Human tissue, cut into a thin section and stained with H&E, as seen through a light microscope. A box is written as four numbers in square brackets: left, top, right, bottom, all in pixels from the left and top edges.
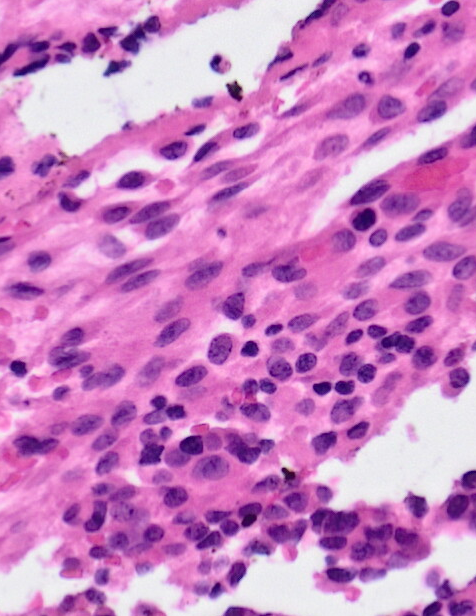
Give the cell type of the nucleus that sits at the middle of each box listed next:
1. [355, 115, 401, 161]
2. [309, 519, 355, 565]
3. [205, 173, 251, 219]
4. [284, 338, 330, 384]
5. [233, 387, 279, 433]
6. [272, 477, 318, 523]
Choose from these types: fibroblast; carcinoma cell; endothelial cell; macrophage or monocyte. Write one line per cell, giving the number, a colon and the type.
1: fibroblast
2: carcinoma cell
3: fibroblast
4: macrophage or monocyte
5: macrophage or monocyte
6: carcinoma cell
